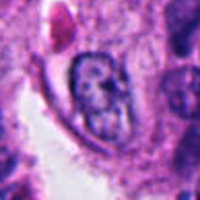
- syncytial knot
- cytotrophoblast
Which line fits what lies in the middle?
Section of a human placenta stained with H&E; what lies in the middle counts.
cytotrophoblast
